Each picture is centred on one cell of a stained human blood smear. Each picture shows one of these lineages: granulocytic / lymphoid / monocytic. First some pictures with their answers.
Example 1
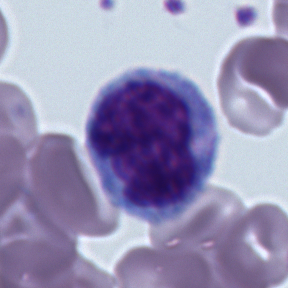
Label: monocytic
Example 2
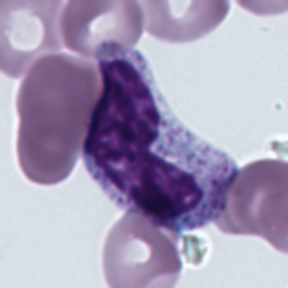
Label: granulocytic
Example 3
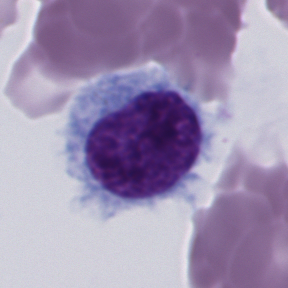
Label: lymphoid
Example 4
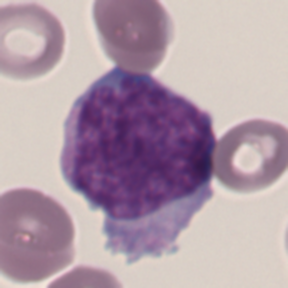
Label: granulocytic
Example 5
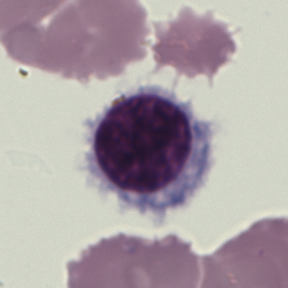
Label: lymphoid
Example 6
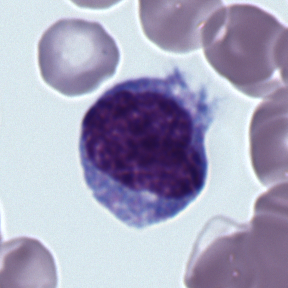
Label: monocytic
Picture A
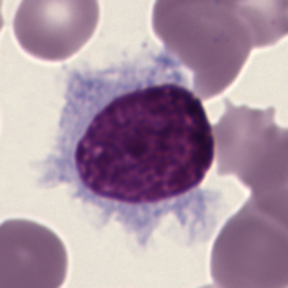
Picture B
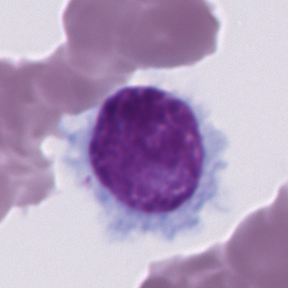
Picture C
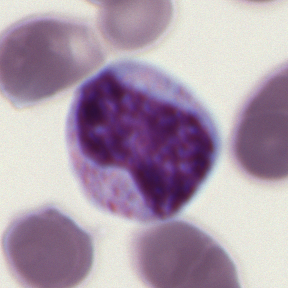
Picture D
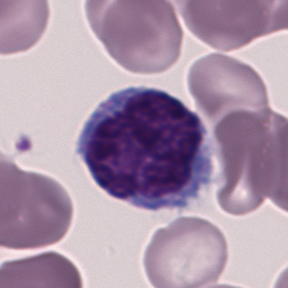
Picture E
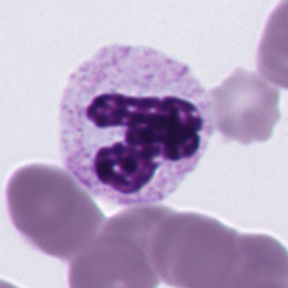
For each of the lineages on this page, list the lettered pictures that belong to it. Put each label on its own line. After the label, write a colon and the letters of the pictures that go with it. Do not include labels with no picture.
granulocytic: C, E
lymphoid: A, B
monocytic: D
